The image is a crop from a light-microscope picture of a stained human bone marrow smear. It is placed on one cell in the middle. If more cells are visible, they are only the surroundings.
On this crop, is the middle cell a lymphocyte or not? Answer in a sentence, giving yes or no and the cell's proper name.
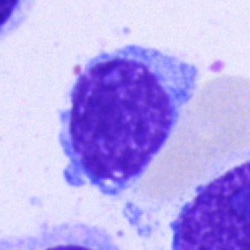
Yes, the cell in the middle of this smear crop is a lymphocyte.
